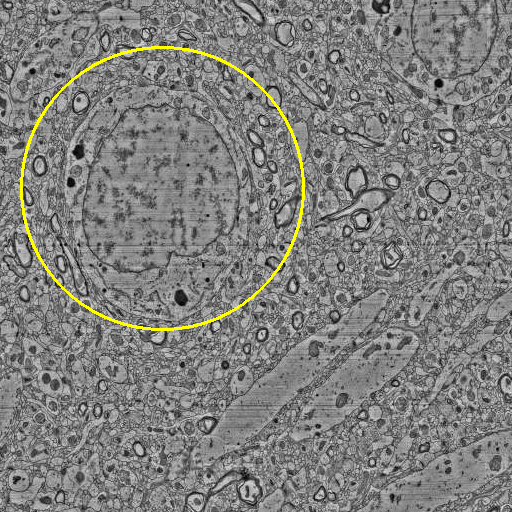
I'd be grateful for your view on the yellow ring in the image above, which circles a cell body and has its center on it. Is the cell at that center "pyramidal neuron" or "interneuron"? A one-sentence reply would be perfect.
The cell at the center of the yellow ring is a pyramidal neuron.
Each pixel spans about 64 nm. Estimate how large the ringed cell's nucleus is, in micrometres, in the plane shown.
Approximately 11 micrometres across in this plane.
